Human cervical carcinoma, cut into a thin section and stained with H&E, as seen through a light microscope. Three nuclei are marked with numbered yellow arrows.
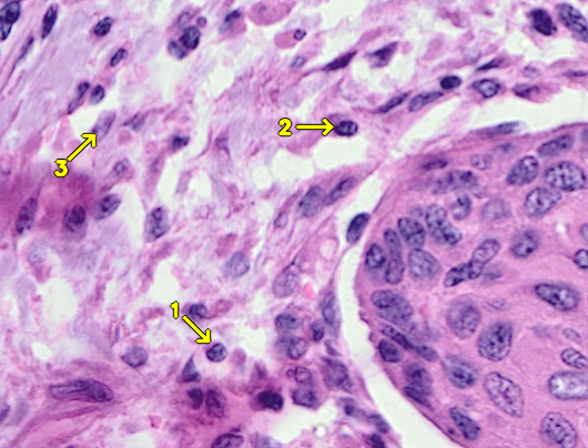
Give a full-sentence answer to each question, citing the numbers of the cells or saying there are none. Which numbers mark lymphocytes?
The cells 1 and 2 in this section are lymphocytes.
